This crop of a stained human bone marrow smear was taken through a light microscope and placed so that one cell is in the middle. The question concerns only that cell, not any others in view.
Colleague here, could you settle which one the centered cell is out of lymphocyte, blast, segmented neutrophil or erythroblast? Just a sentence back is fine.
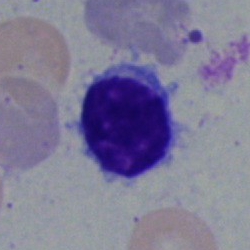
The crop centres on a single cell, and that cell is a lymphocyte.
